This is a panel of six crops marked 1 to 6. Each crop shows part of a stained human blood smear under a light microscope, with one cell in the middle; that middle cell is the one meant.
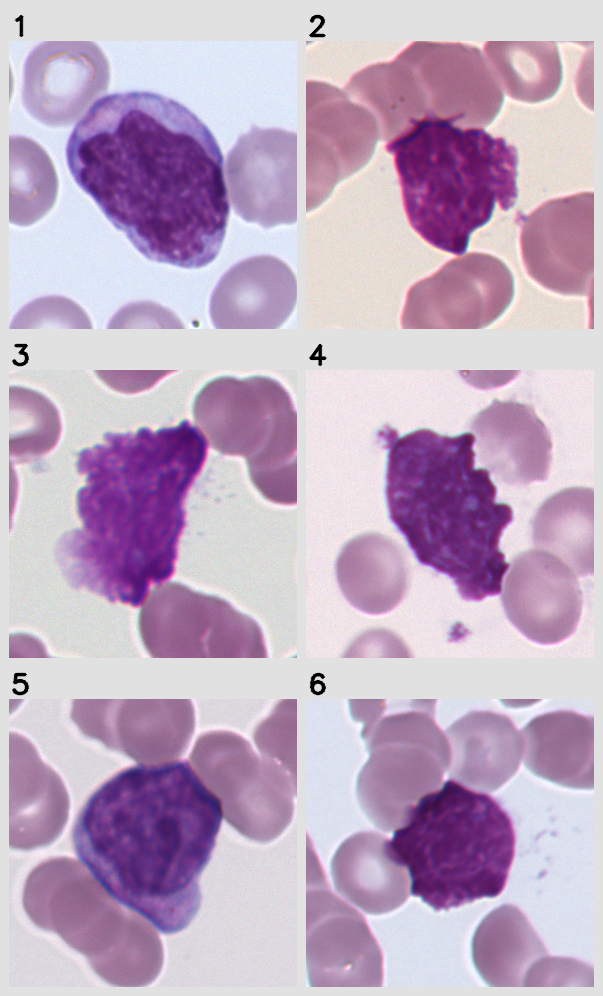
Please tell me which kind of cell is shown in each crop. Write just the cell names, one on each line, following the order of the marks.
atypical promyelocyte
smudge cell
smudge cell
smudge cell
atypical promyelocyte
smudge cell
